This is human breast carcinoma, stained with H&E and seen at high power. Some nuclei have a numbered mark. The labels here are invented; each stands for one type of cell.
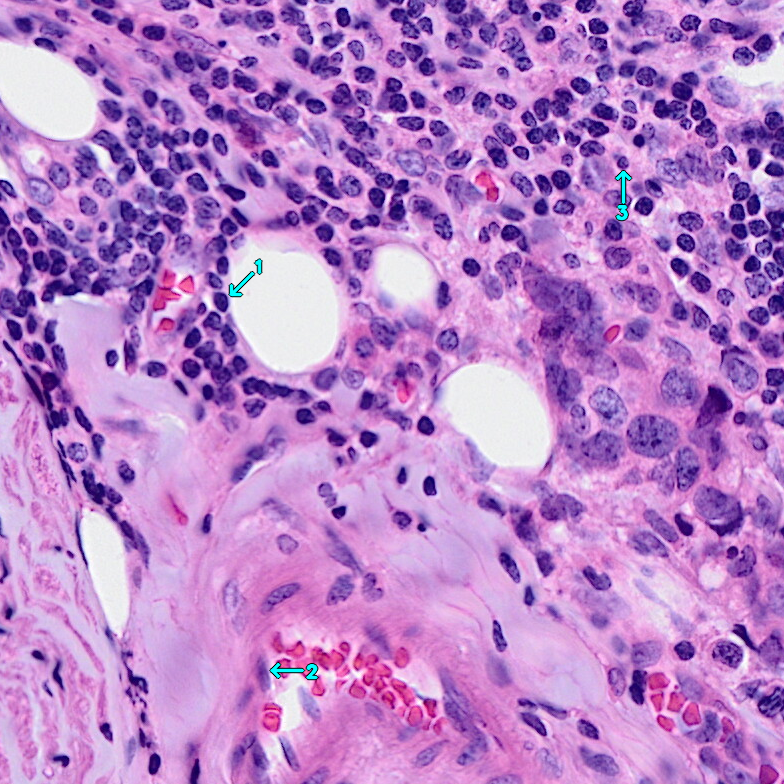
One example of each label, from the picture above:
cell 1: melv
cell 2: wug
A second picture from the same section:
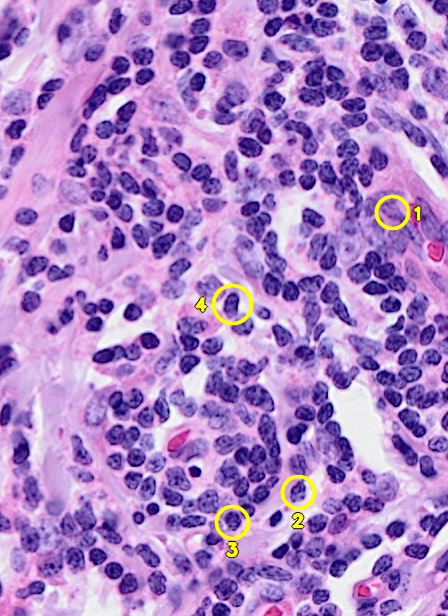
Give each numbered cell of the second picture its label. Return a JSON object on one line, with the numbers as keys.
{"1": "wug", "2": "melv", "3": "melv", "4": "melv"}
